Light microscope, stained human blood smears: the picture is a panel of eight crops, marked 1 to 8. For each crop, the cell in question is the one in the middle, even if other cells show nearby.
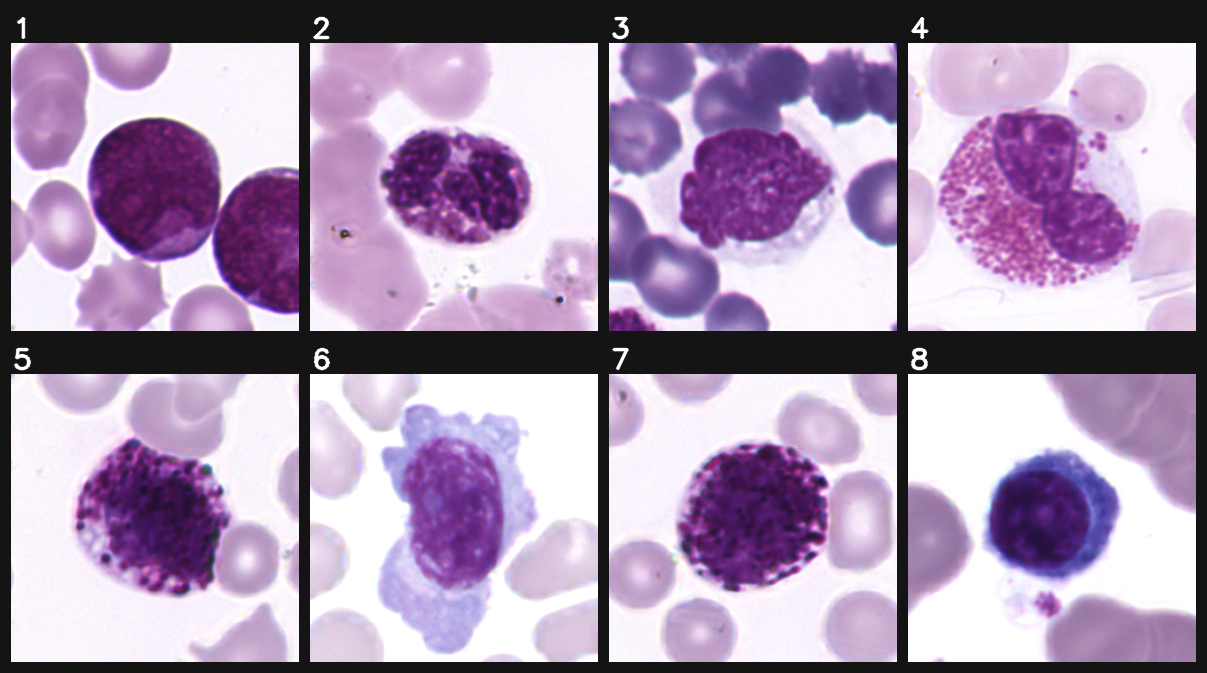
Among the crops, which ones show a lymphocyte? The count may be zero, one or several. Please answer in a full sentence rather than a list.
Where the crops are concerned, none contains a lymphocyte.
